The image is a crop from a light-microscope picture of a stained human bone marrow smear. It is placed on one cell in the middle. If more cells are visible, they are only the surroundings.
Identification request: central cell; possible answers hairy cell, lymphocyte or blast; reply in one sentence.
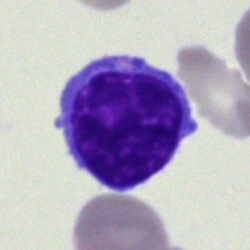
In the centre of this crop there is a lymphocyte.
